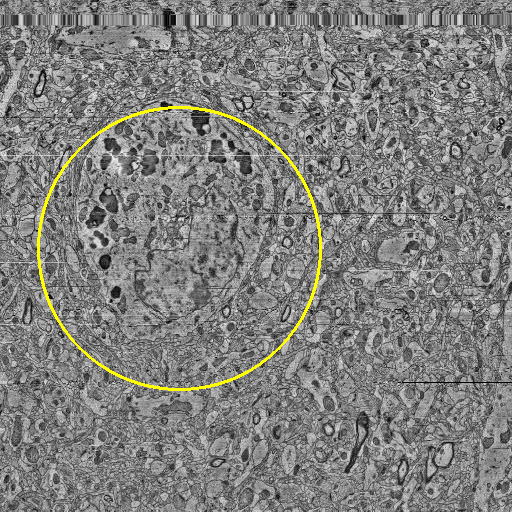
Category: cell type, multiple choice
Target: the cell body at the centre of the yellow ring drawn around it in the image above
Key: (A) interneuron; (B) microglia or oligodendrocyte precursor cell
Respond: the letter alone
A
